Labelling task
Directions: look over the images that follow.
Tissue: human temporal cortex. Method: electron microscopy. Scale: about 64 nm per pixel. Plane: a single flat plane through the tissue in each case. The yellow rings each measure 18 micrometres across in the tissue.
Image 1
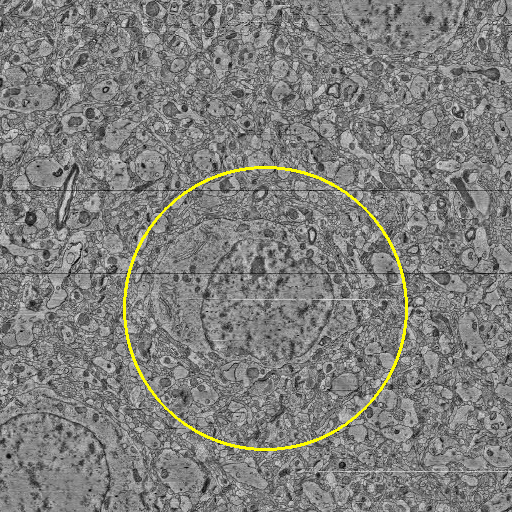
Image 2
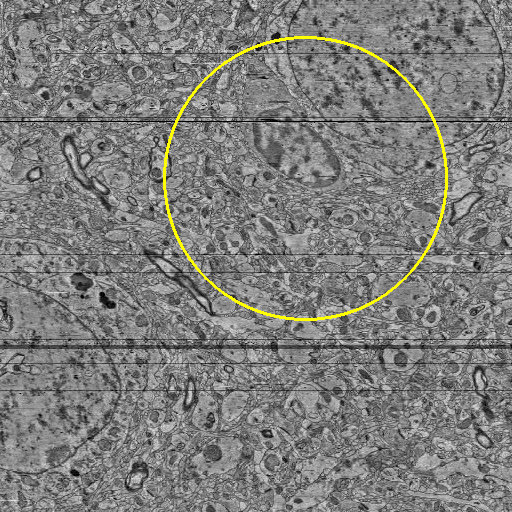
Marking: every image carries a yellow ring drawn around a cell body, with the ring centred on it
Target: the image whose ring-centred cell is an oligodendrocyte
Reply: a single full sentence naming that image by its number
The requested cell sits at the ring's centre in Image 2.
